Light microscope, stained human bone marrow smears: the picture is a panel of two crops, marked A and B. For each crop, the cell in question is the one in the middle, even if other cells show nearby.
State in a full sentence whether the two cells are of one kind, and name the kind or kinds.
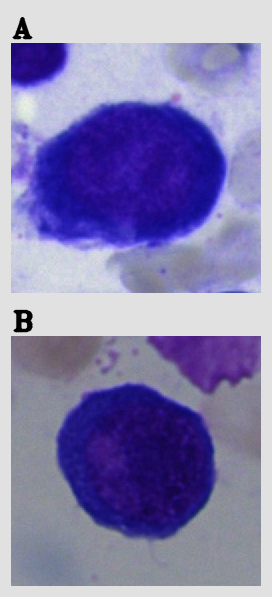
Yes, in short, both crops show proerythroblasts.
